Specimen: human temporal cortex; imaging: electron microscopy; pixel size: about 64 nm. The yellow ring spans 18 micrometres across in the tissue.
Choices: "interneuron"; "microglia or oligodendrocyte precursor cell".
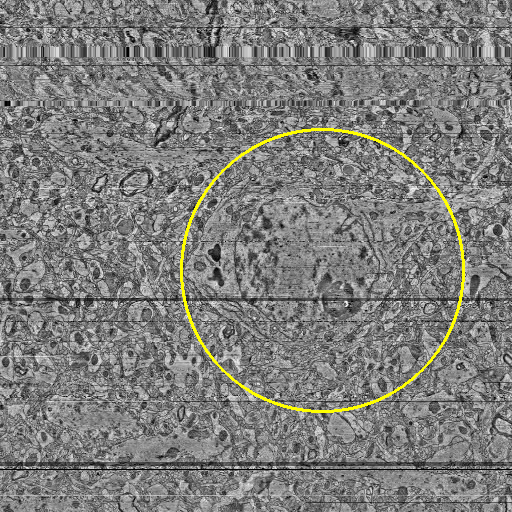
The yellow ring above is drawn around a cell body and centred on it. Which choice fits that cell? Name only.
interneuron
